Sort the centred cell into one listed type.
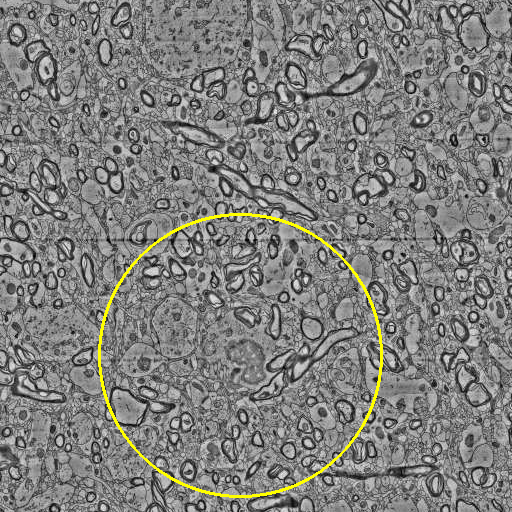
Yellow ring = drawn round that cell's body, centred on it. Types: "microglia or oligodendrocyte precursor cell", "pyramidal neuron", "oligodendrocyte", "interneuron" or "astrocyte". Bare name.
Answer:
oligodendrocyte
